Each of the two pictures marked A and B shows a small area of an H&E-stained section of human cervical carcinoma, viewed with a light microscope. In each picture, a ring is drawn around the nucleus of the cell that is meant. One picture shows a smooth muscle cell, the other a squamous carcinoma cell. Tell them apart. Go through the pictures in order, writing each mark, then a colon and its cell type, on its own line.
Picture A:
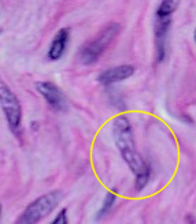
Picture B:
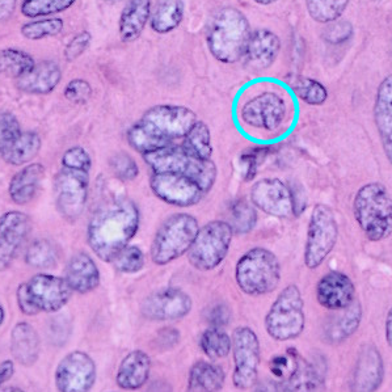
A: smooth muscle cell
B: squamous carcinoma cell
